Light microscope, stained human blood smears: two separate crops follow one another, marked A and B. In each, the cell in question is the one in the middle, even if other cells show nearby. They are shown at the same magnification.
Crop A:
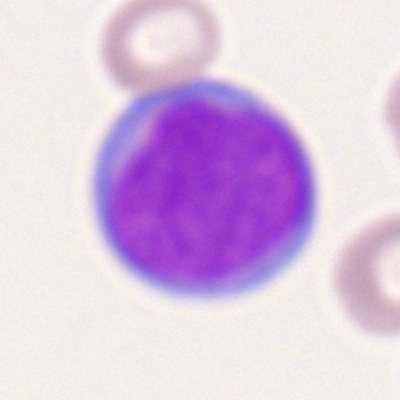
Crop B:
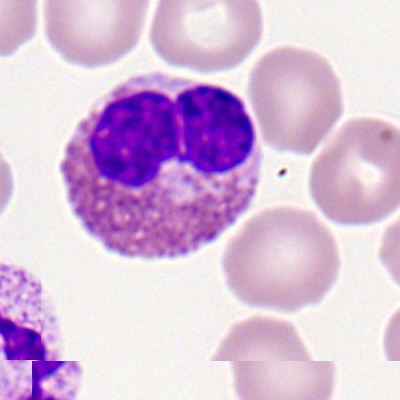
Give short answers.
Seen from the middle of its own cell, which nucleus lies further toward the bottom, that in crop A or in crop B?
A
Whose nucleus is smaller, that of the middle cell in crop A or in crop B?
B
